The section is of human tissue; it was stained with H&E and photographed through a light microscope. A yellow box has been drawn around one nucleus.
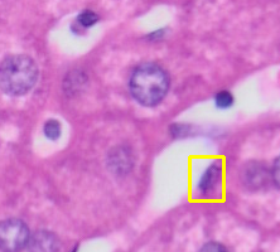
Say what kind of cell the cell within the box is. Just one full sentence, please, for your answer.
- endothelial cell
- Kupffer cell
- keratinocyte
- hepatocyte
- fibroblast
For the purposes of cell typing, the cell within the box is categorized as an endothelial cell.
